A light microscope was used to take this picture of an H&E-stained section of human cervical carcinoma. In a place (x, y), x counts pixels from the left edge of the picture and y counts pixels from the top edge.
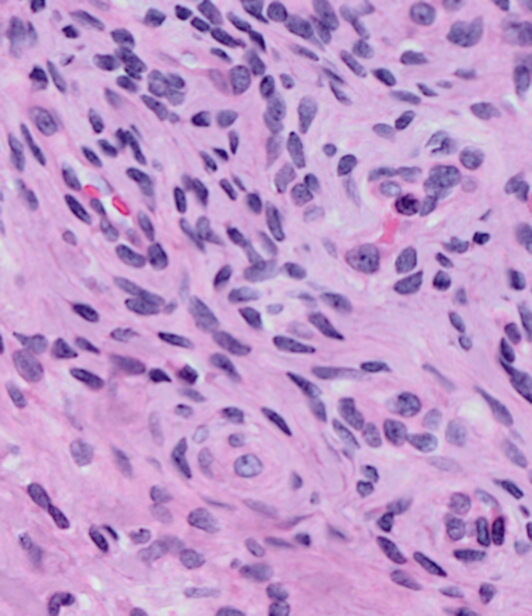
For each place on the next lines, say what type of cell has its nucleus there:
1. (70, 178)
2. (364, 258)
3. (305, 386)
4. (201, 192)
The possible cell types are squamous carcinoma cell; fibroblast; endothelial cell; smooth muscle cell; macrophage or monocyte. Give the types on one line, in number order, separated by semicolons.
endothelial cell; endothelial cell; fibroblast; fibroblast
